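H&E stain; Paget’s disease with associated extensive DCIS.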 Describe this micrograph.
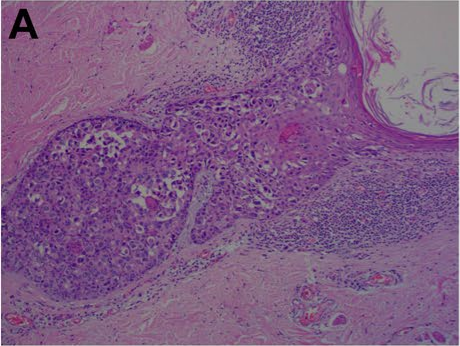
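At low magnification, rounded nests of tumour cells with pale cytoplasm lie within pink fibrous stroma. The largest nest at the left is sharply bordered and contains cells with clear spaces around dark nuclei. Dense clusters of small dark blue cells lie beside the nests, and layered pink keratin is seen at the upper right. Small blood vessels with red cells are scattered through the stroma.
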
